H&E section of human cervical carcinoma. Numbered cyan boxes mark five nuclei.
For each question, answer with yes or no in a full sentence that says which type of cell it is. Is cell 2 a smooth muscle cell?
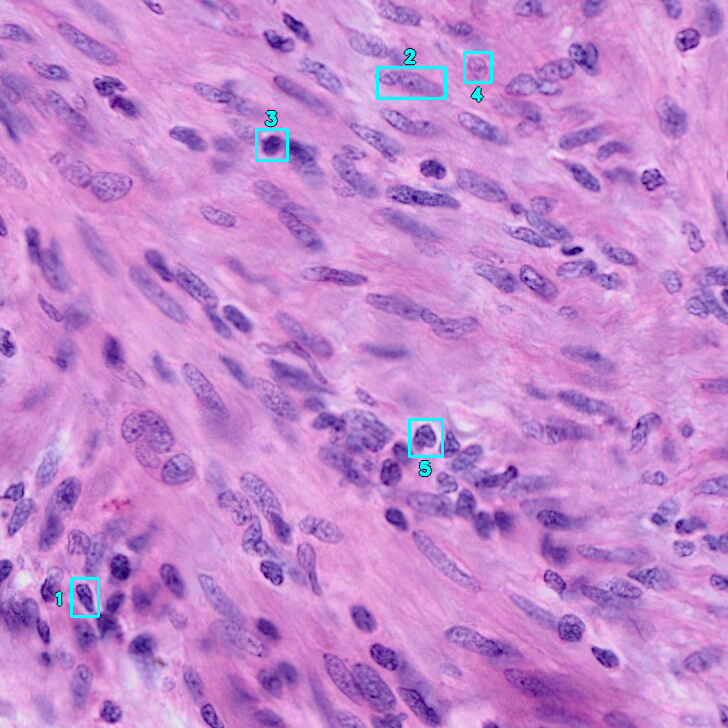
Yes, of the numbered cells, number 2 is a smooth muscle cell.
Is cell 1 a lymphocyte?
Yes, the cell at marker 1 is a lymphocyte.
